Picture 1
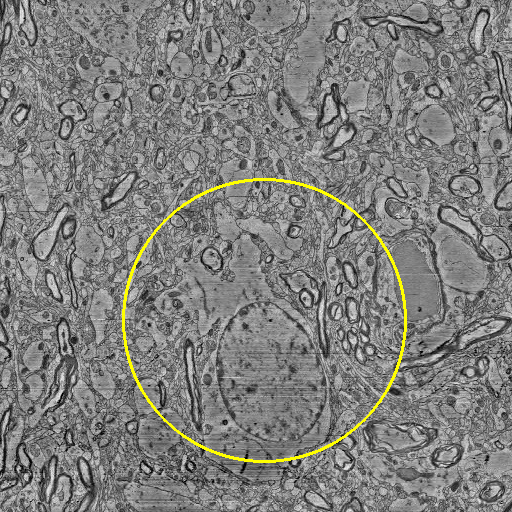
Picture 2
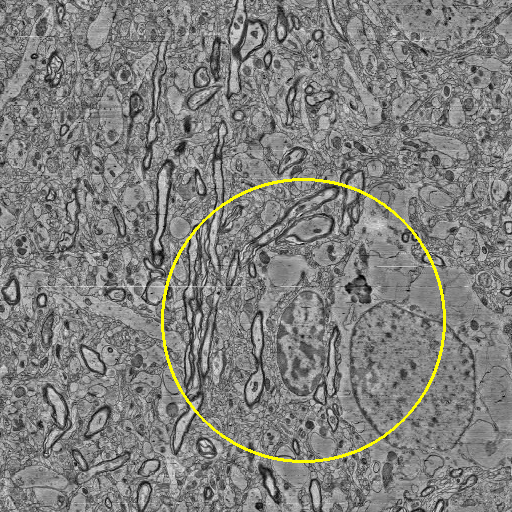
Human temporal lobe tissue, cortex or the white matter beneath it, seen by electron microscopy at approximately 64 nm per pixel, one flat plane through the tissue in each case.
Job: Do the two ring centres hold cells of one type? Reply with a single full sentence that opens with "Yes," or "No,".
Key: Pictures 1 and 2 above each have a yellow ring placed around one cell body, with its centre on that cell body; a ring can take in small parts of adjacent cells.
No, the cells at the two ring centres are of two separate types.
